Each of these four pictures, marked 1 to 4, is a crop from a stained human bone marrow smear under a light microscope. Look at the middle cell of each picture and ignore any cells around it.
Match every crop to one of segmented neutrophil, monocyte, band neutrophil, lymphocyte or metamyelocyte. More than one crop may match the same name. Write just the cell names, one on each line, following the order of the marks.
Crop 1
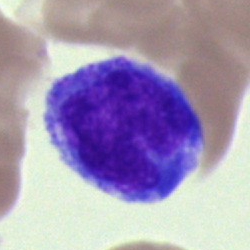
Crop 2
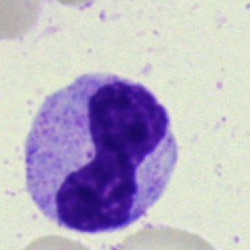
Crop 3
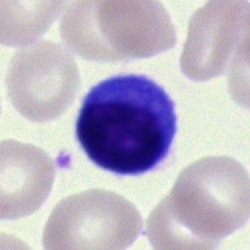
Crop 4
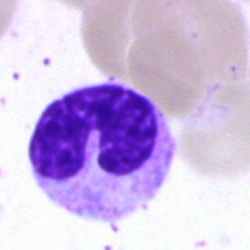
monocyte
band neutrophil
lymphocyte
band neutrophil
